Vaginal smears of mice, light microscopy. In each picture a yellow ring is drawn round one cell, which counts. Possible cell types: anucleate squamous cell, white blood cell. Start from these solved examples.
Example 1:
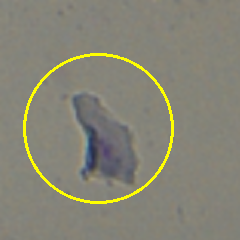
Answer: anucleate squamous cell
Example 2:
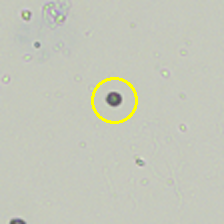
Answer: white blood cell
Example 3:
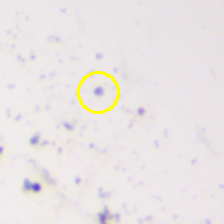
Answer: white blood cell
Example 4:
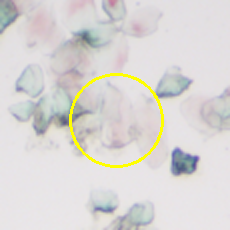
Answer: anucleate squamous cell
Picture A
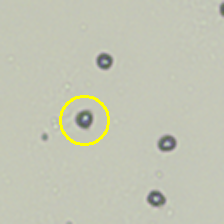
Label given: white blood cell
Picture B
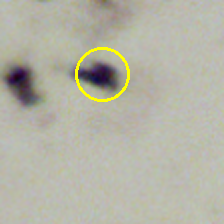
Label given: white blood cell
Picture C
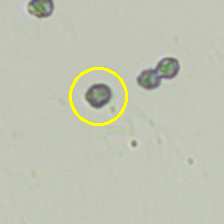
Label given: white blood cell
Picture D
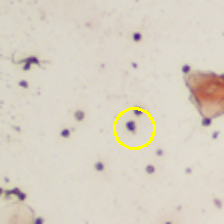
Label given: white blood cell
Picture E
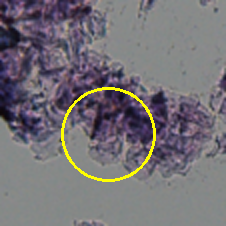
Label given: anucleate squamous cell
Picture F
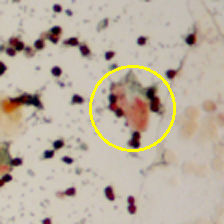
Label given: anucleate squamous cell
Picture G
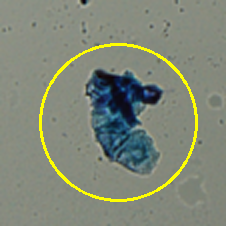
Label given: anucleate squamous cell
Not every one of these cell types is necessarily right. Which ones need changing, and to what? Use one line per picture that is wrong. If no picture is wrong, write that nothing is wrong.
Every label is right.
